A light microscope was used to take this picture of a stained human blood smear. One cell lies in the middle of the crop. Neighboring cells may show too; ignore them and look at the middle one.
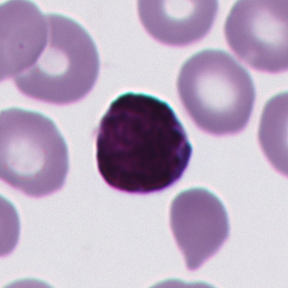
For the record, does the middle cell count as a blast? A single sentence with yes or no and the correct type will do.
Yes, the middle cell of the field is a blast.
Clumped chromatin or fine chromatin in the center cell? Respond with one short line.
Its chromatin is clumped in a coarse pattern.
